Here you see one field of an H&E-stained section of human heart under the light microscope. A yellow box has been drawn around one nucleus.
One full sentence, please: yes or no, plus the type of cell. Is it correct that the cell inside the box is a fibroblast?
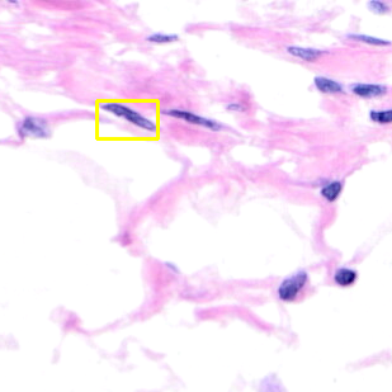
Yes, in this field of view, the cell inside the box is a fibroblast.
